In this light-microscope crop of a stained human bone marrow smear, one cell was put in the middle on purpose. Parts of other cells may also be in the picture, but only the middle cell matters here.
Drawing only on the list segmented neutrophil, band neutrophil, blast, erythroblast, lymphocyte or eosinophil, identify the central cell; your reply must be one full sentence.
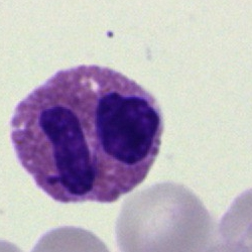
The cell occupying the middle of the crop is an eosinophil.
